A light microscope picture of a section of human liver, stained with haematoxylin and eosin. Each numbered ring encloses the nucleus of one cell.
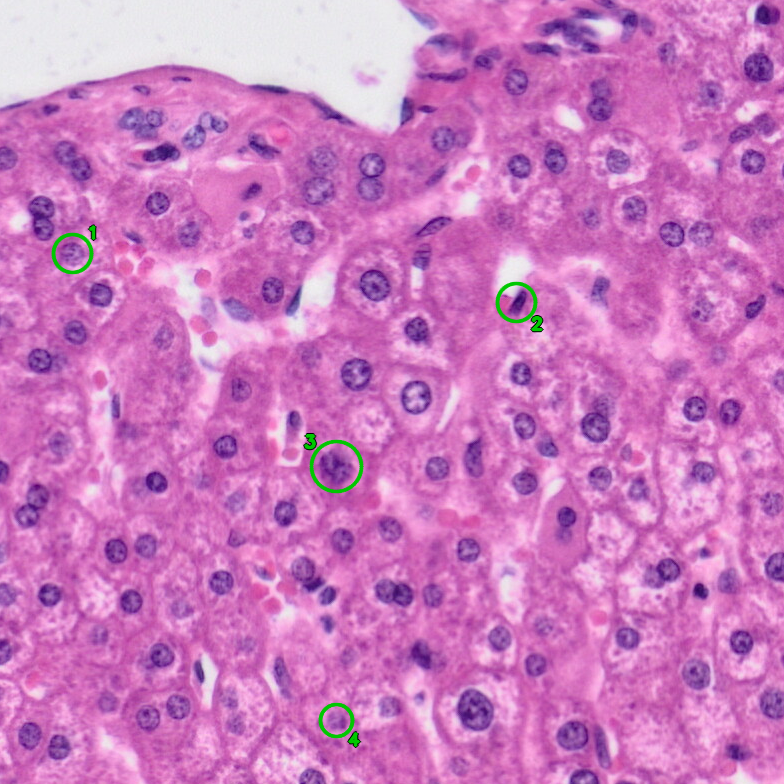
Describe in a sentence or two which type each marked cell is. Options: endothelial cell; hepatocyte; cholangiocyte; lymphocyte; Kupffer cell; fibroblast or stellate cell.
Cell 1 is a hepatocyte, cell 2 is a fibroblast or stellate cell, cell 3 is a hepatocyte and cell 4 is a hepatocyte.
